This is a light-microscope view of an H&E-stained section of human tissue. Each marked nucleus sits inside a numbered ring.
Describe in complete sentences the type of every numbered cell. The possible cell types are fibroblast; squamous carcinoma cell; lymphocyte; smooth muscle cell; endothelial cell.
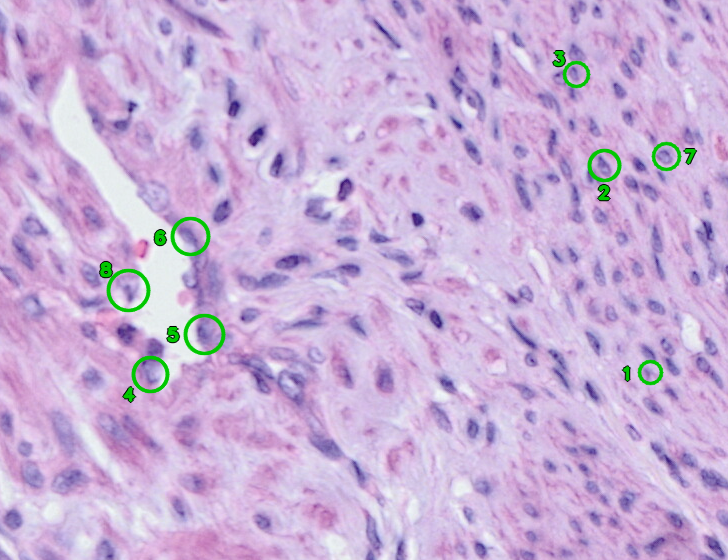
Cell 1 is a smooth muscle cell, cell 2 is a smooth muscle cell, cell 3 is a smooth muscle cell, cell 4 is an endothelial cell, cell 5 is an endothelial cell, cell 6 is an endothelial cell, cell 7 is a smooth muscle cell and cell 8 is an endothelial cell.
